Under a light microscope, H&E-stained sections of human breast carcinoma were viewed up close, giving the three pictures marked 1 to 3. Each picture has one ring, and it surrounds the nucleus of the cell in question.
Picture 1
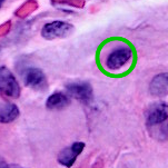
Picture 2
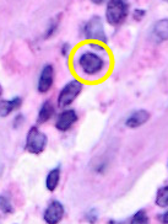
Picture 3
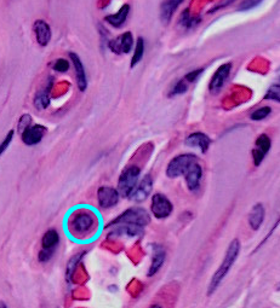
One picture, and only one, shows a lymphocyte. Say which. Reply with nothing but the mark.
2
